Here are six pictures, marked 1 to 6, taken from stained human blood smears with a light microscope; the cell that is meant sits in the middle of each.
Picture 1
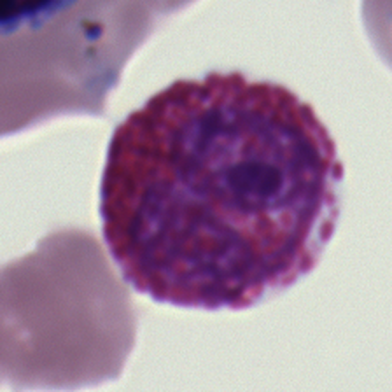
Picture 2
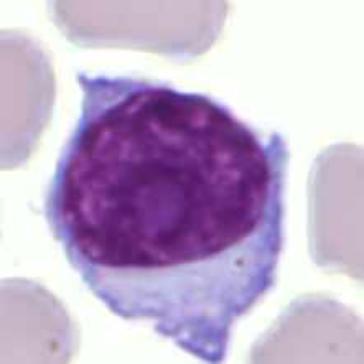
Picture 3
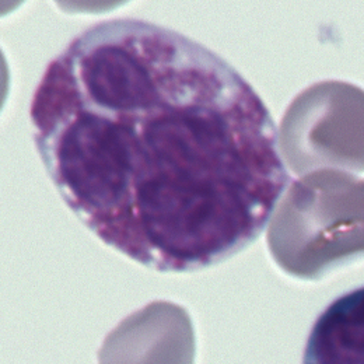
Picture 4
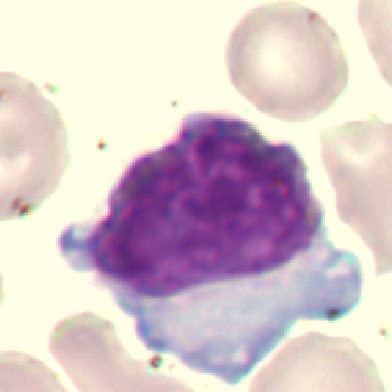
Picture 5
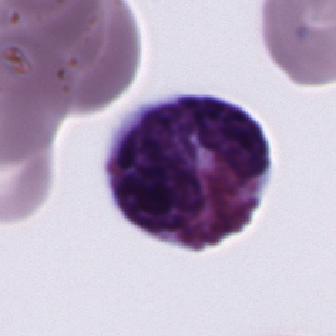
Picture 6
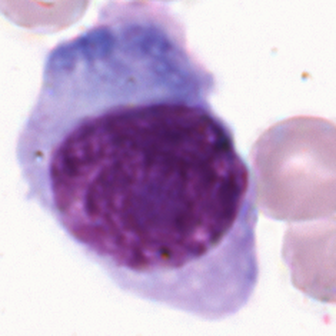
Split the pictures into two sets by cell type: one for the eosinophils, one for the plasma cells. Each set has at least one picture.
1: eosinophil
2: plasma cell
3: eosinophil
4: plasma cell
5: eosinophil
6: plasma cell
